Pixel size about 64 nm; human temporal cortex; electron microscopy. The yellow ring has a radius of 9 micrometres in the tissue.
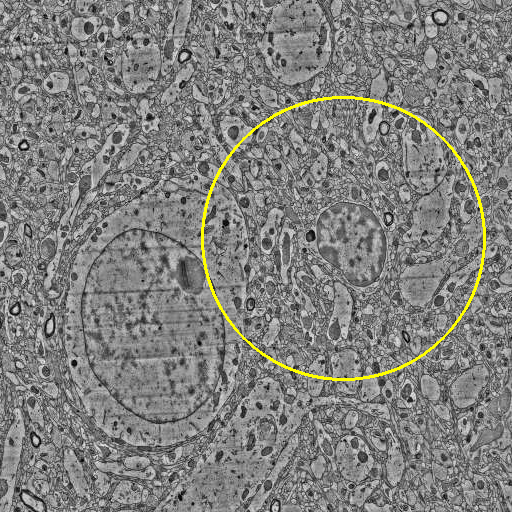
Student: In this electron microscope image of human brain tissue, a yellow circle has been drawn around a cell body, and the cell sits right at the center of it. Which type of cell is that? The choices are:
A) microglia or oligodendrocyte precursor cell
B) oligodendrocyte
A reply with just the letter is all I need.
A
